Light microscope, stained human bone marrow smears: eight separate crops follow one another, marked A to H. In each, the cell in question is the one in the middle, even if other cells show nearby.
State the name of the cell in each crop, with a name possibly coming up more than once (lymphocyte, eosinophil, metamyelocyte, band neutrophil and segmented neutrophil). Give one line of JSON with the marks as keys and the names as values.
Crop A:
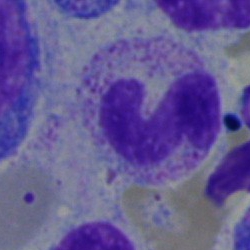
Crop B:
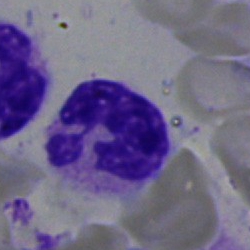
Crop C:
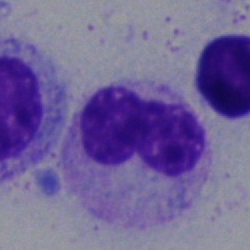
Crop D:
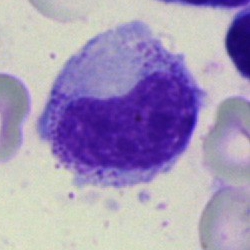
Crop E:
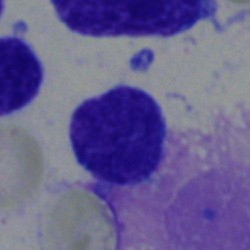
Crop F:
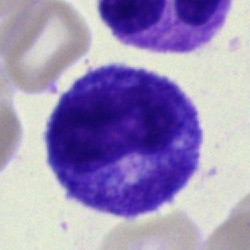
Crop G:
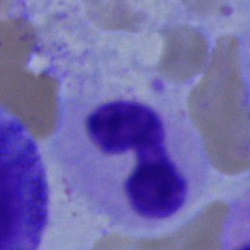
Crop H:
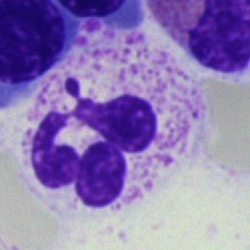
{"A": "metamyelocyte", "B": "segmented neutrophil", "C": "metamyelocyte", "D": "metamyelocyte", "E": "lymphocyte", "F": "metamyelocyte", "G": "band neutrophil", "H": "segmented neutrophil"}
